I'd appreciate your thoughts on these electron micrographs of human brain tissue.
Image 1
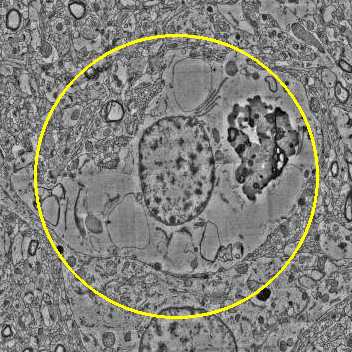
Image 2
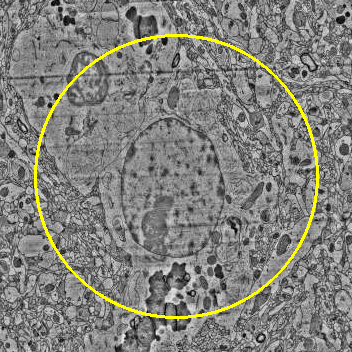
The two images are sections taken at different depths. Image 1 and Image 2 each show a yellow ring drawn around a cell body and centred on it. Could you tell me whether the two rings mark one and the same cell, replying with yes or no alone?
no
